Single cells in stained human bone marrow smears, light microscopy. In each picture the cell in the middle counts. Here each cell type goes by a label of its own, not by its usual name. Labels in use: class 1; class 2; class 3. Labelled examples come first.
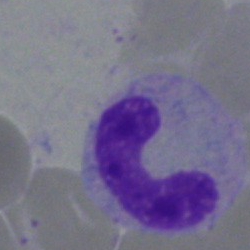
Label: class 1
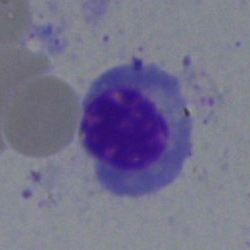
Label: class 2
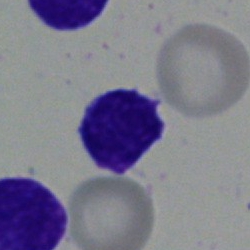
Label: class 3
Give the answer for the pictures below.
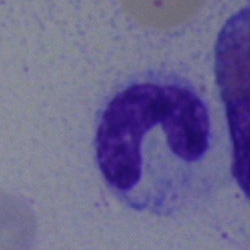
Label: class 1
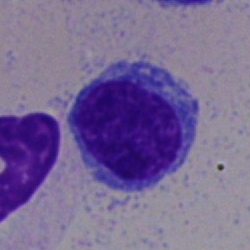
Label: class 3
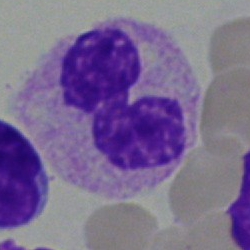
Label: class 1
